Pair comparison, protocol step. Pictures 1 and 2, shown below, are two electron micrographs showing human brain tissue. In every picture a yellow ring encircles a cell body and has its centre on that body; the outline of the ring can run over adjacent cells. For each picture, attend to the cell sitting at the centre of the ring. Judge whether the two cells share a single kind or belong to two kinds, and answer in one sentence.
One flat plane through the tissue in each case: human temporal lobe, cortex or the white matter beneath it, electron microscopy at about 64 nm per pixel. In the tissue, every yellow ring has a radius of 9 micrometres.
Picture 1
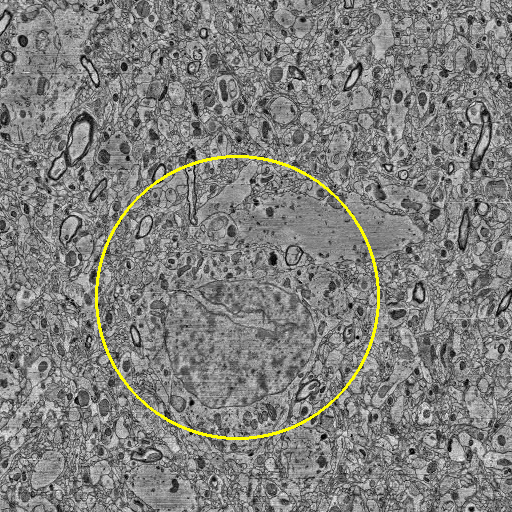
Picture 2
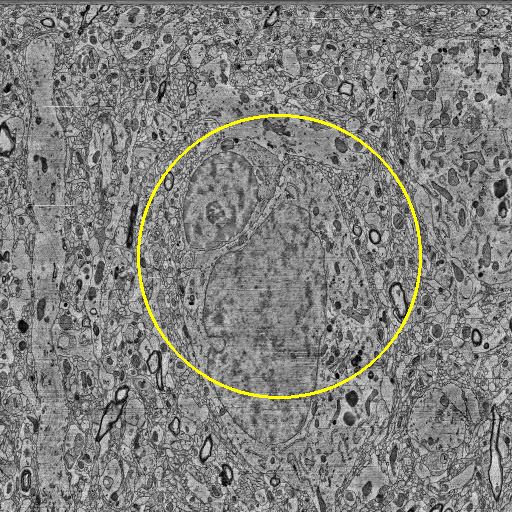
The two cells at the ring centres in Picture 1 and Picture 2 share a single kind.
